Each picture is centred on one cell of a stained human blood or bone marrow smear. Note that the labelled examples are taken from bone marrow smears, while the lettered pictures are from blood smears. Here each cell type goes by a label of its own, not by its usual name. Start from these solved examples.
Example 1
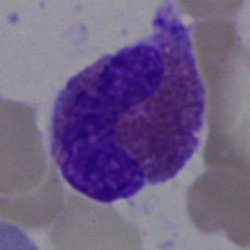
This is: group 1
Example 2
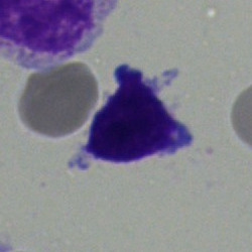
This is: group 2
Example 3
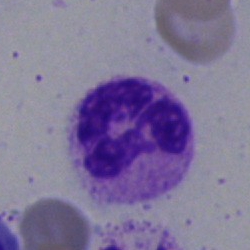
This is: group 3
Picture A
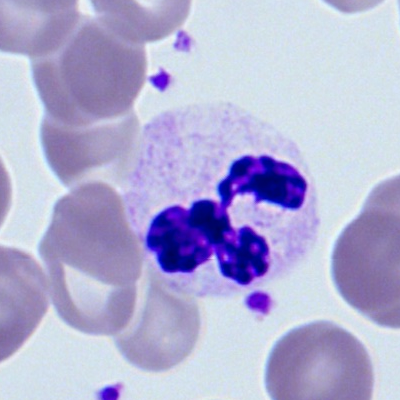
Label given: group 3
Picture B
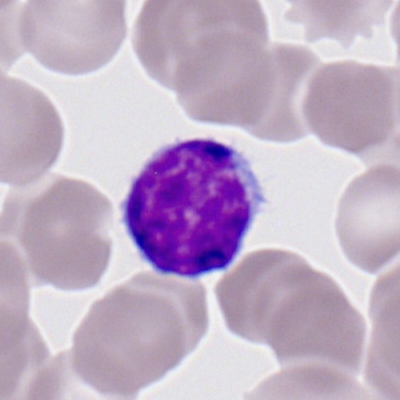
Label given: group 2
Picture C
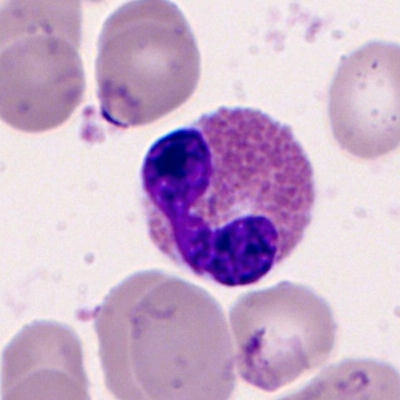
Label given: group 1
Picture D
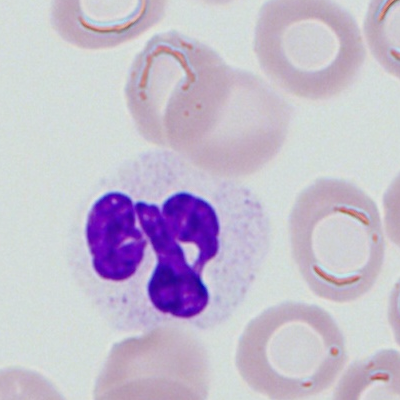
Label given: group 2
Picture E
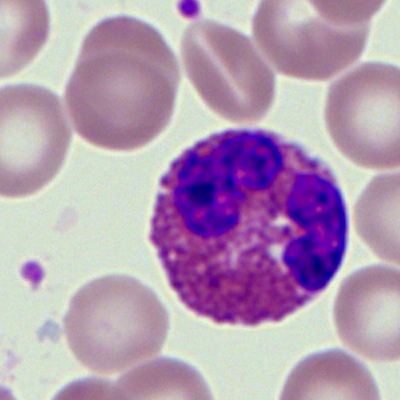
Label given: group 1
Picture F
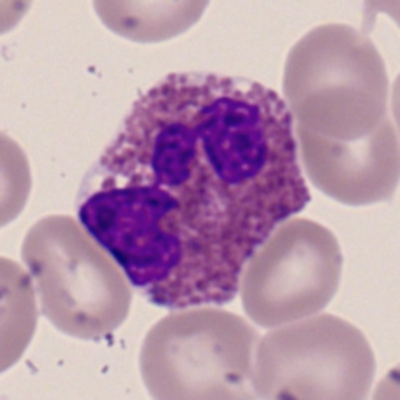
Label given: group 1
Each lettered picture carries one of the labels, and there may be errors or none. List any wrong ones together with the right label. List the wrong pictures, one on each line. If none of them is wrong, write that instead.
D: group 3, not group 2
